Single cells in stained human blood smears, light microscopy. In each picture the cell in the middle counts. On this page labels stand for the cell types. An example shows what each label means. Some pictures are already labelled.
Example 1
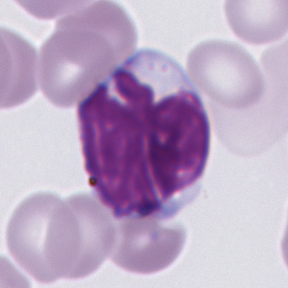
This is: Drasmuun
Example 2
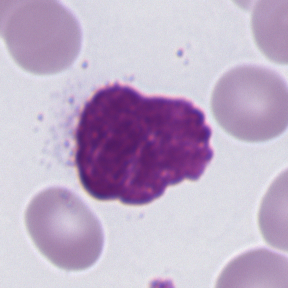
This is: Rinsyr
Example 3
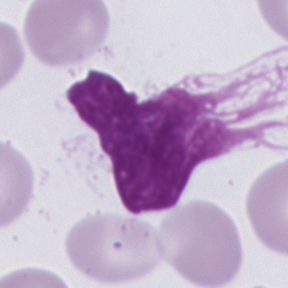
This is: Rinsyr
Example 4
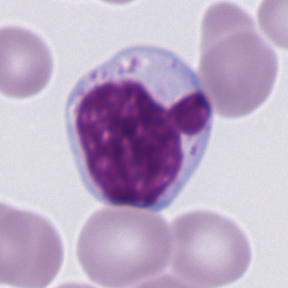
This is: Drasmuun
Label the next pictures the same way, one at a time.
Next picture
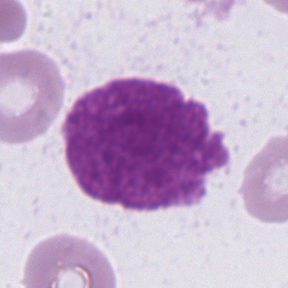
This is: Rinsyr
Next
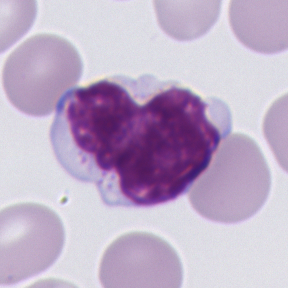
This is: Drasmuun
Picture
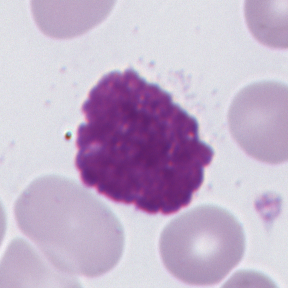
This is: Rinsyr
